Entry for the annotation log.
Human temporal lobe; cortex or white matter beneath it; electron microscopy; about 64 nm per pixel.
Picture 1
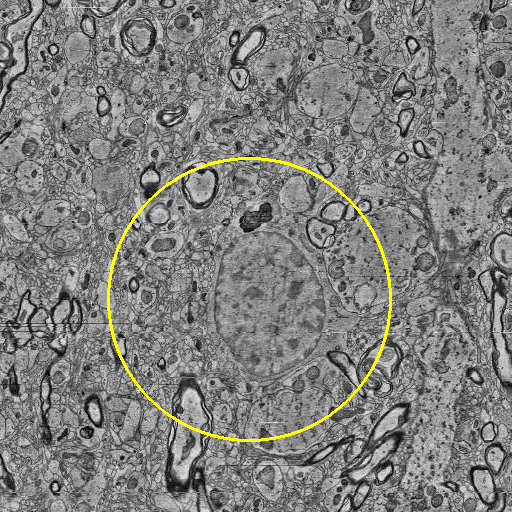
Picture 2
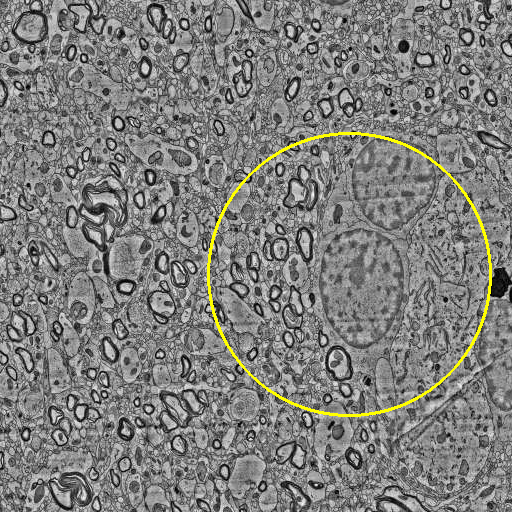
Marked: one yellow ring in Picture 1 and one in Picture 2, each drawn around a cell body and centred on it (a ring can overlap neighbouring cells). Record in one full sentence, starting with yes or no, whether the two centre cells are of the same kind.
Yes, both cells are of the same kind.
